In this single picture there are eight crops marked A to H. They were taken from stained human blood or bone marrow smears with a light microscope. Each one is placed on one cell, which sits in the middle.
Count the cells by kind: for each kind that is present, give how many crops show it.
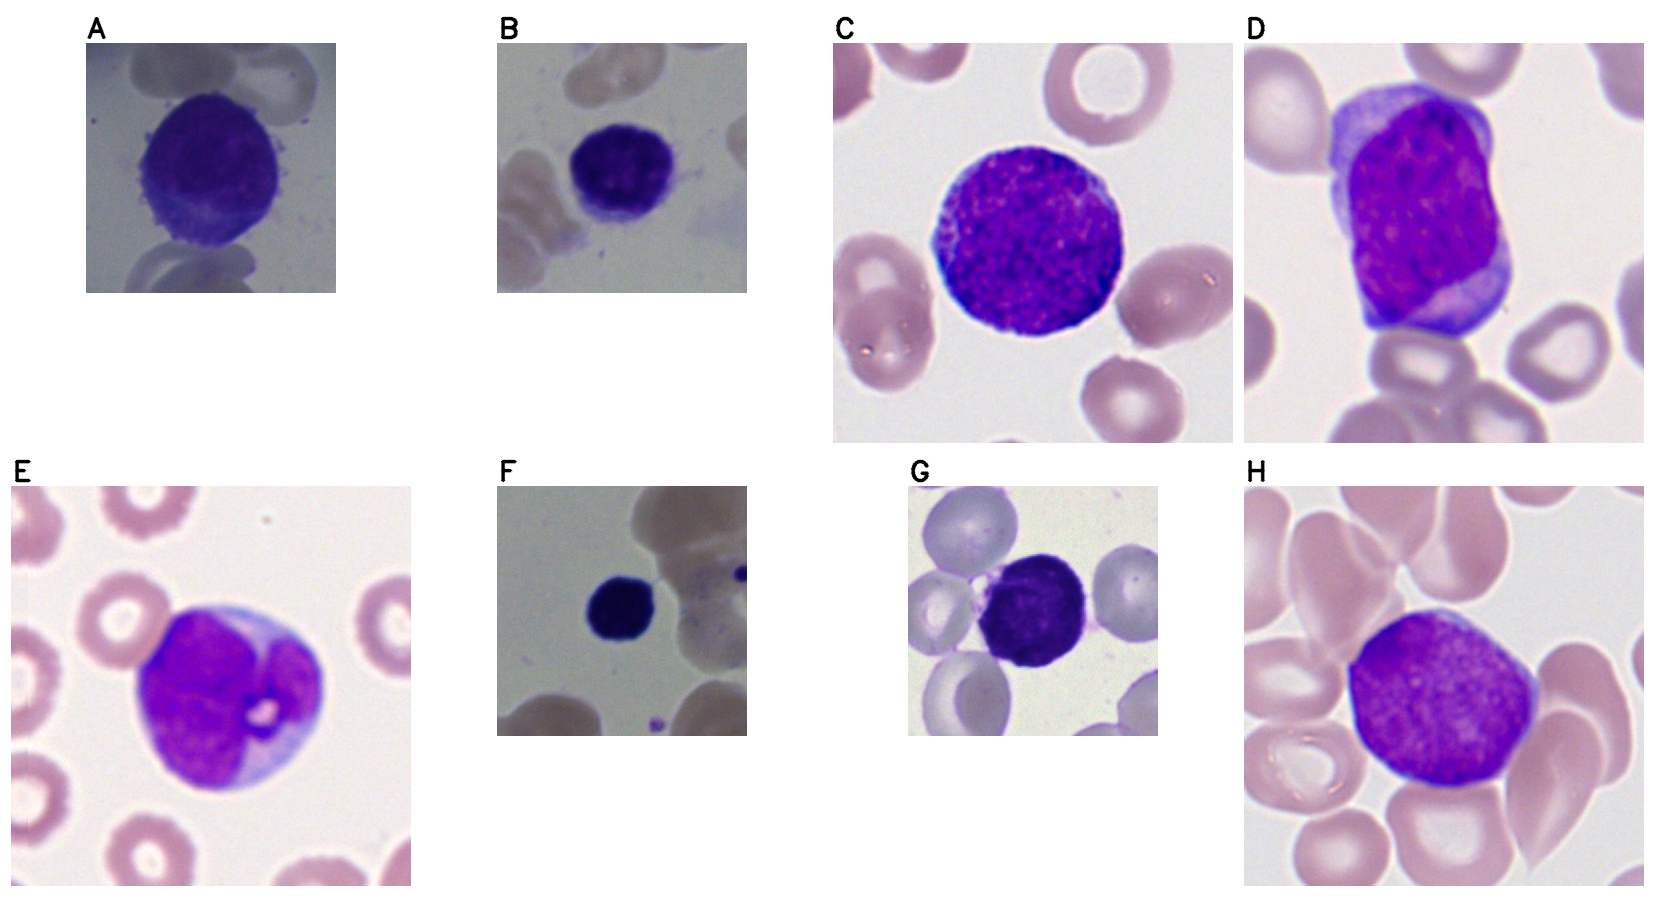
blast: 5
lymphocyte: 3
